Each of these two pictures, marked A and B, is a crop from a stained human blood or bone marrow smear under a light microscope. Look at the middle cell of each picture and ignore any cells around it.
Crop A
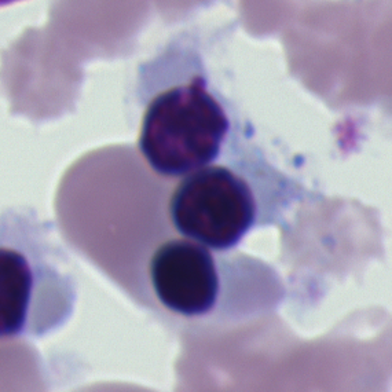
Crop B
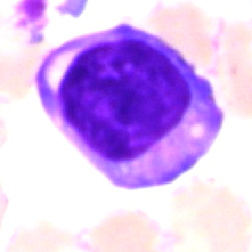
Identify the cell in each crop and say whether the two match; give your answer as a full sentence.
No, enter a normoblast for crop A and a lymphocyte for crop B.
